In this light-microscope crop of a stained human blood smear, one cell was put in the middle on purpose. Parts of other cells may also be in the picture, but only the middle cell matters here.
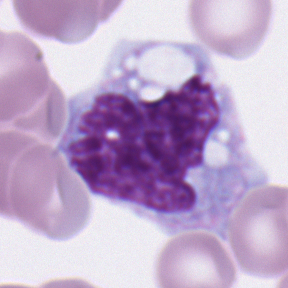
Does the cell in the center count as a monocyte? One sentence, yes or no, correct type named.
Yes, it is a monocyte that occupies the centre of the crop.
